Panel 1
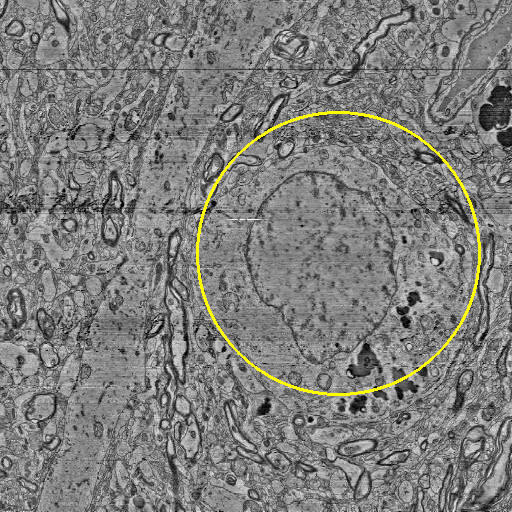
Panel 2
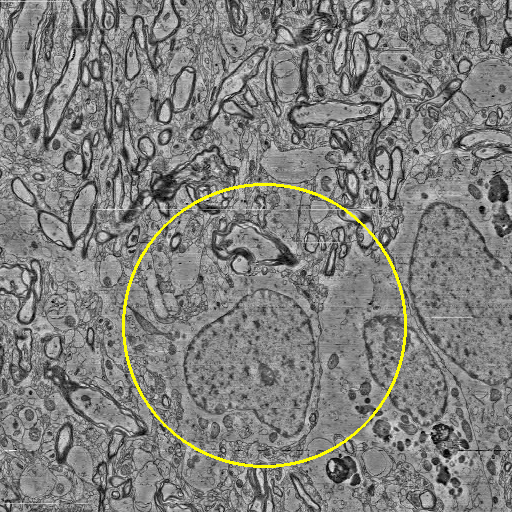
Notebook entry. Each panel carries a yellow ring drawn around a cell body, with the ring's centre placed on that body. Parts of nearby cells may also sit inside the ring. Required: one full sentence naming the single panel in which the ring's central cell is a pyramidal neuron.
Panel 1 is the single one with the sought cell at its ring's centre.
